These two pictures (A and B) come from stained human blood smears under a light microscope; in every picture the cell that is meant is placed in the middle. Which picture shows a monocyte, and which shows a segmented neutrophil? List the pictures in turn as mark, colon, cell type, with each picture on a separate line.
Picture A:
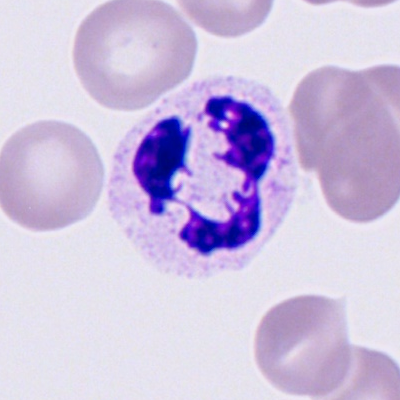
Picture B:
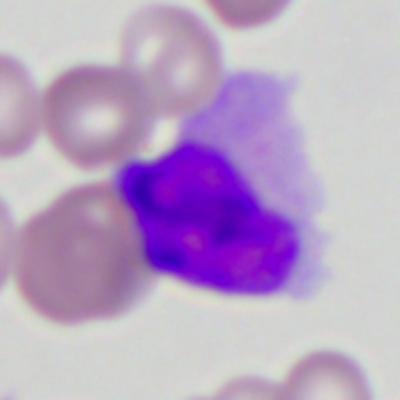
A: segmented neutrophil
B: monocyte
